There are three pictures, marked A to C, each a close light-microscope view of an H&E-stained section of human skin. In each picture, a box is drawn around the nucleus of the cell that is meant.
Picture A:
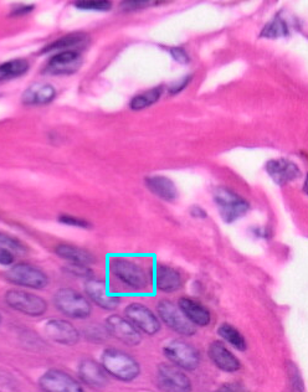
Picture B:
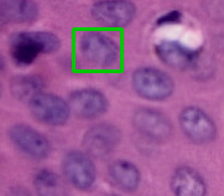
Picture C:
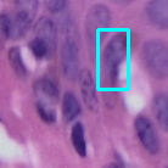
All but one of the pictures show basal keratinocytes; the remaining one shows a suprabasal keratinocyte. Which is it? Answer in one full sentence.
Picture B shows the suprabasal keratinocyte.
